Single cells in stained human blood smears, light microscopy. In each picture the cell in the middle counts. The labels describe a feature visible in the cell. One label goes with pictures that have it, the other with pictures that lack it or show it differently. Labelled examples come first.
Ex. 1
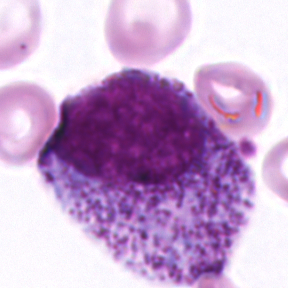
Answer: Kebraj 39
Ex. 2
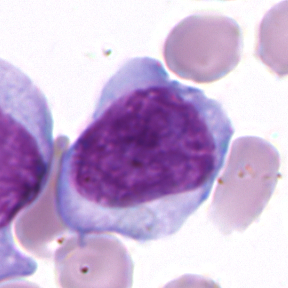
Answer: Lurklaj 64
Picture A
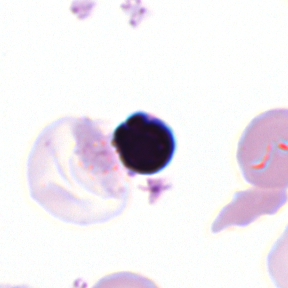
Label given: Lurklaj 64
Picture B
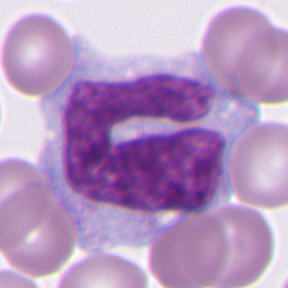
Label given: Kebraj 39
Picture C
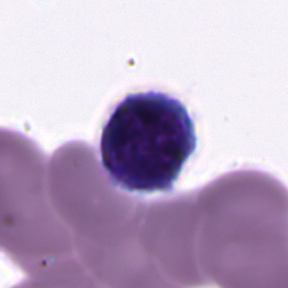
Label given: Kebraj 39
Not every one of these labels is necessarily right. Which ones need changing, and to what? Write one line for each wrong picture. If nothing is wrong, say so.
C should be Lurklaj 64, not Kebraj 39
